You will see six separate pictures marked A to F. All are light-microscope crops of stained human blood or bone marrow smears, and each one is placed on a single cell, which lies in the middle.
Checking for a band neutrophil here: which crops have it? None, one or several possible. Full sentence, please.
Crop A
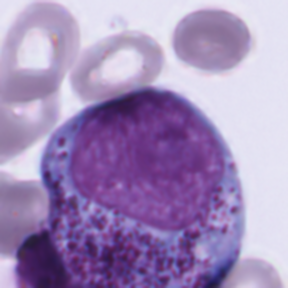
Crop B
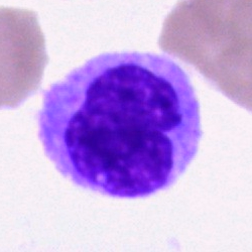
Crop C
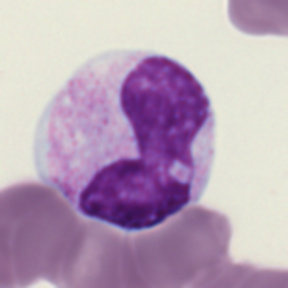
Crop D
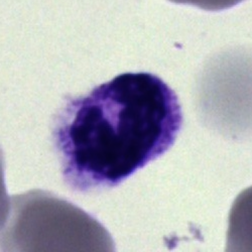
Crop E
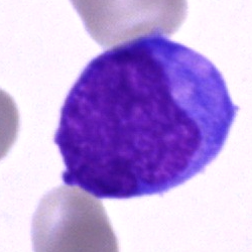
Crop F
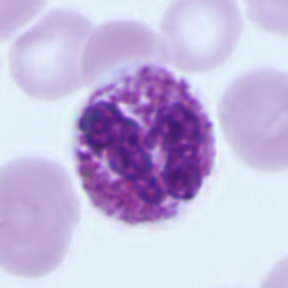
The cells in the middle of crops C and D are band neutrophils.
